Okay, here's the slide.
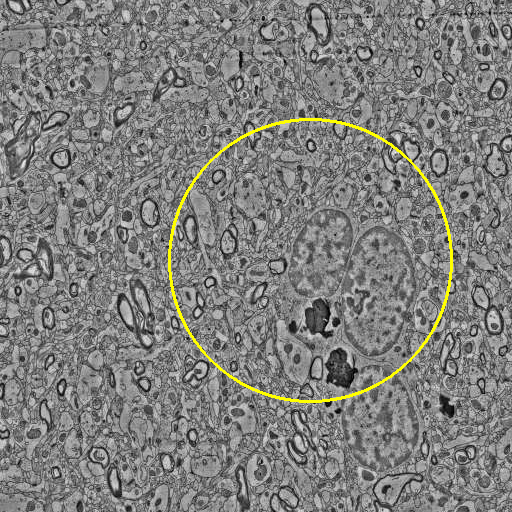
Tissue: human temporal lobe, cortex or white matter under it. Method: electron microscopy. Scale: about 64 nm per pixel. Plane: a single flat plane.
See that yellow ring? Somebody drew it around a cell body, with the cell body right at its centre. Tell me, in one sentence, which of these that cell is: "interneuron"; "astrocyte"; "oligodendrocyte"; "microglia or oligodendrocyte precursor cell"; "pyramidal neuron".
The cell in the middle of the ring is an oligodendrocyte.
